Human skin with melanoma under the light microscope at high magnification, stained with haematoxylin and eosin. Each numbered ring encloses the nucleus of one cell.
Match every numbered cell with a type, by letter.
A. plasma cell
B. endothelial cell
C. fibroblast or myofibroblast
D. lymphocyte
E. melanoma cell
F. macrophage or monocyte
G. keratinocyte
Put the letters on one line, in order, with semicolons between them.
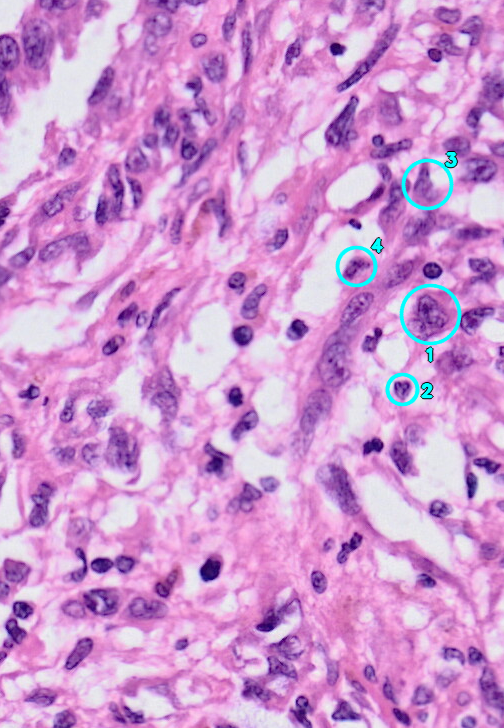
E; D; E; E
